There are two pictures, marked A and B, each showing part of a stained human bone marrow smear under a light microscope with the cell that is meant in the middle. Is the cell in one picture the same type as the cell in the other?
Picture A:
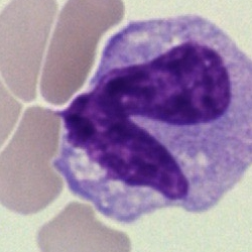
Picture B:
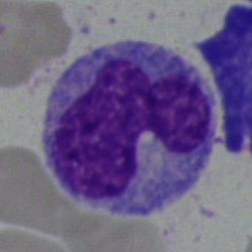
yes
